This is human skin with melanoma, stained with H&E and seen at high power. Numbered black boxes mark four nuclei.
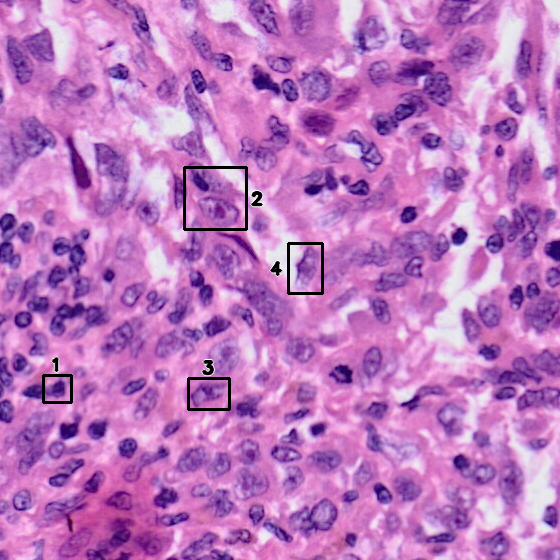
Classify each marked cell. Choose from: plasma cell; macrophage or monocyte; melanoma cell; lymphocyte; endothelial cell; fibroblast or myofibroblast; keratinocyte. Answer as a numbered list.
1. lymphocyte
2. melanoma cell
3. melanoma cell
4. melanoma cell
